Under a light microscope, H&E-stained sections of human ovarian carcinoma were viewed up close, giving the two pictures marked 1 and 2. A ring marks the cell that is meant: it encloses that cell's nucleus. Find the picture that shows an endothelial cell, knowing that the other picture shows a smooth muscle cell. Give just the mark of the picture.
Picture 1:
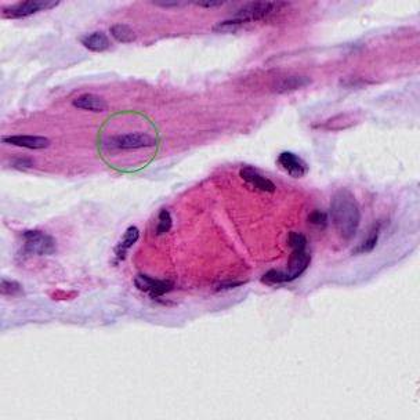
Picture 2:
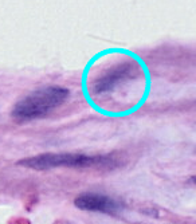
2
